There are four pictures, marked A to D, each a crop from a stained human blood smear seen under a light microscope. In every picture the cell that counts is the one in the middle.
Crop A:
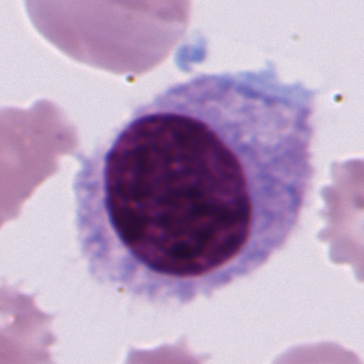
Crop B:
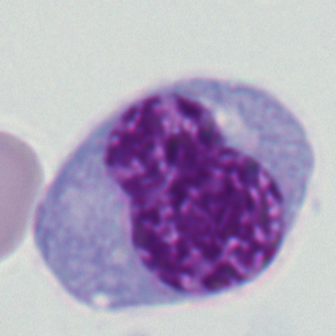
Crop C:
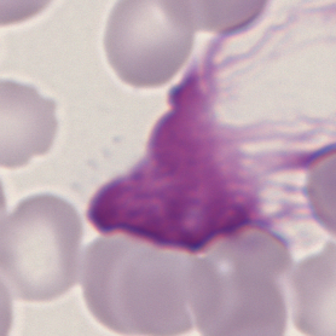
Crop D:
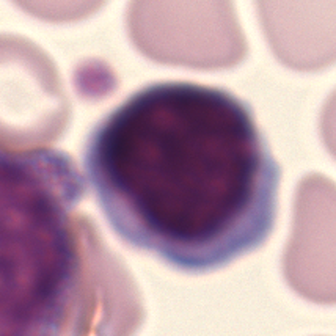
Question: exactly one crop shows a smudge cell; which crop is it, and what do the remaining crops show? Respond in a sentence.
The middle cell of crop C is a smudge cell, while crop A is a hairy cell, crop B is a plasma cell and crop D is a typical lymphocyte.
